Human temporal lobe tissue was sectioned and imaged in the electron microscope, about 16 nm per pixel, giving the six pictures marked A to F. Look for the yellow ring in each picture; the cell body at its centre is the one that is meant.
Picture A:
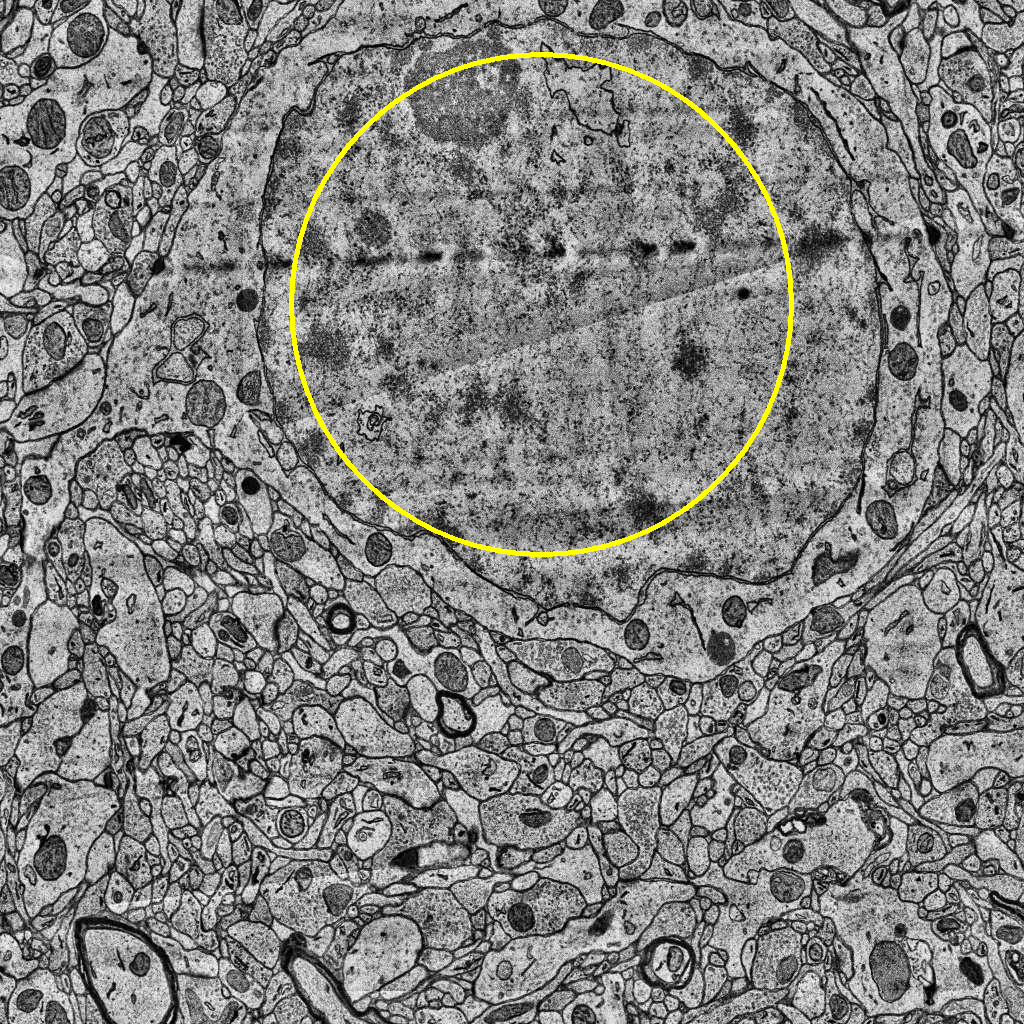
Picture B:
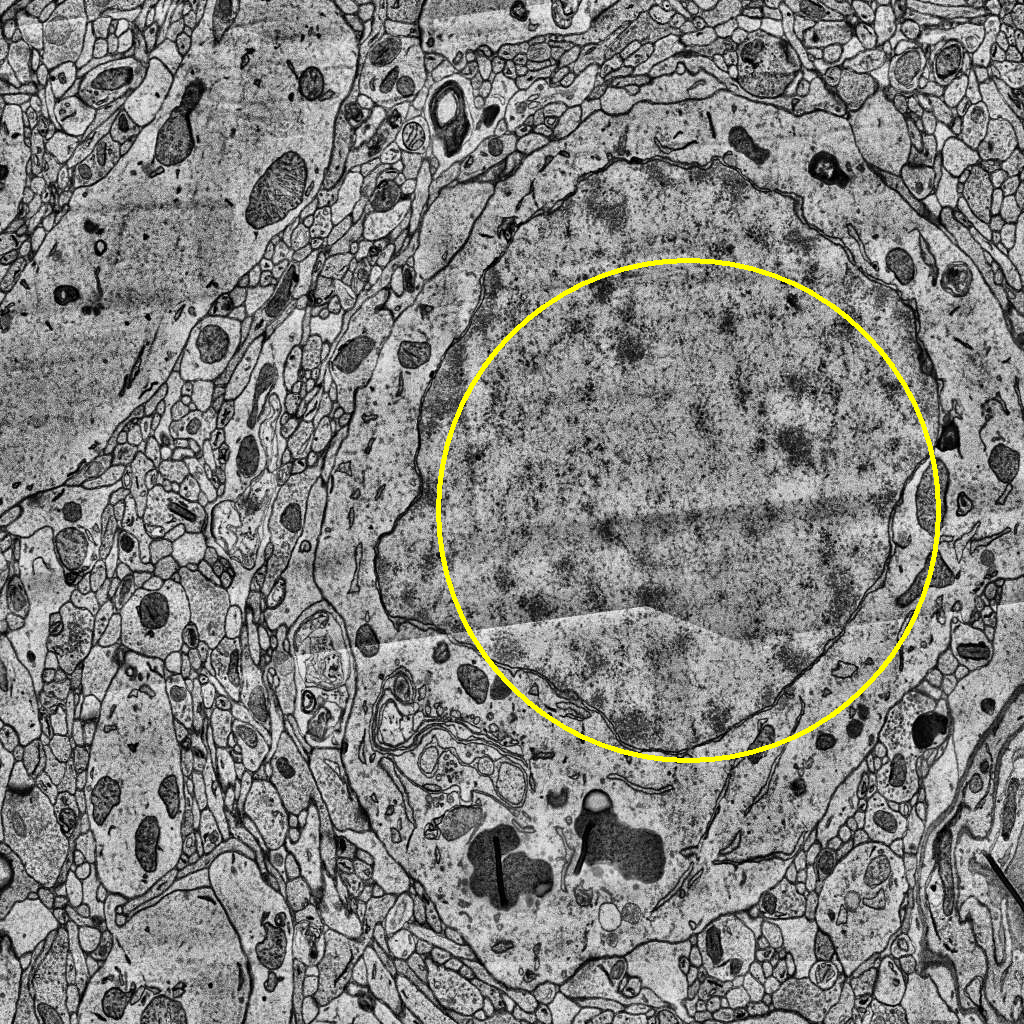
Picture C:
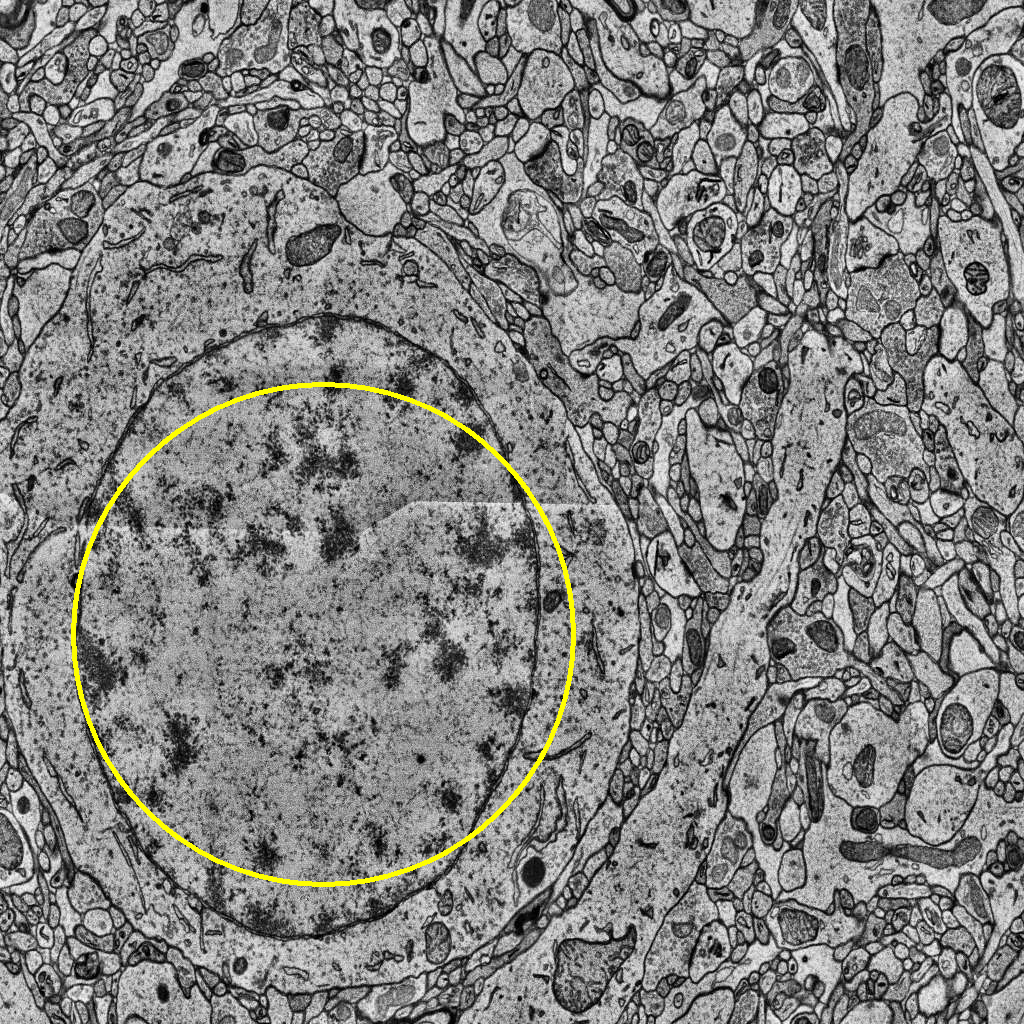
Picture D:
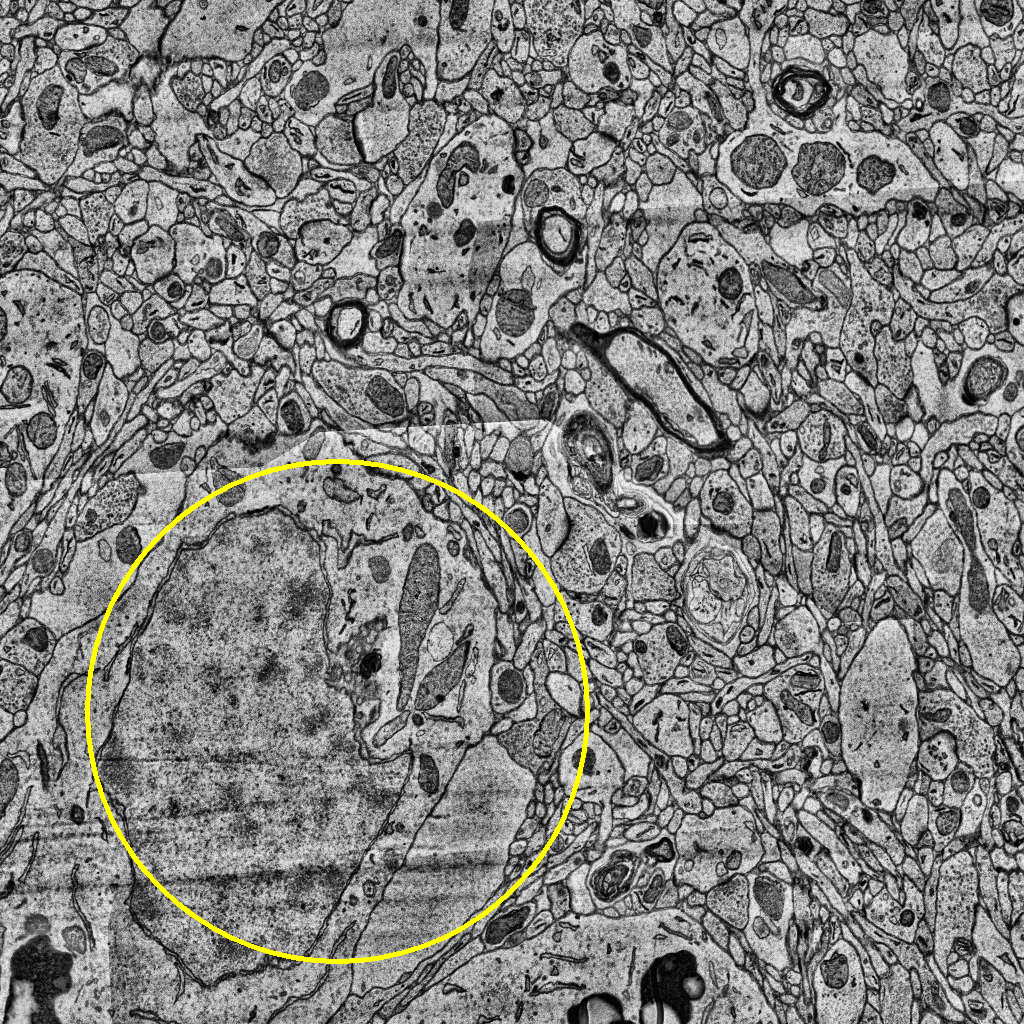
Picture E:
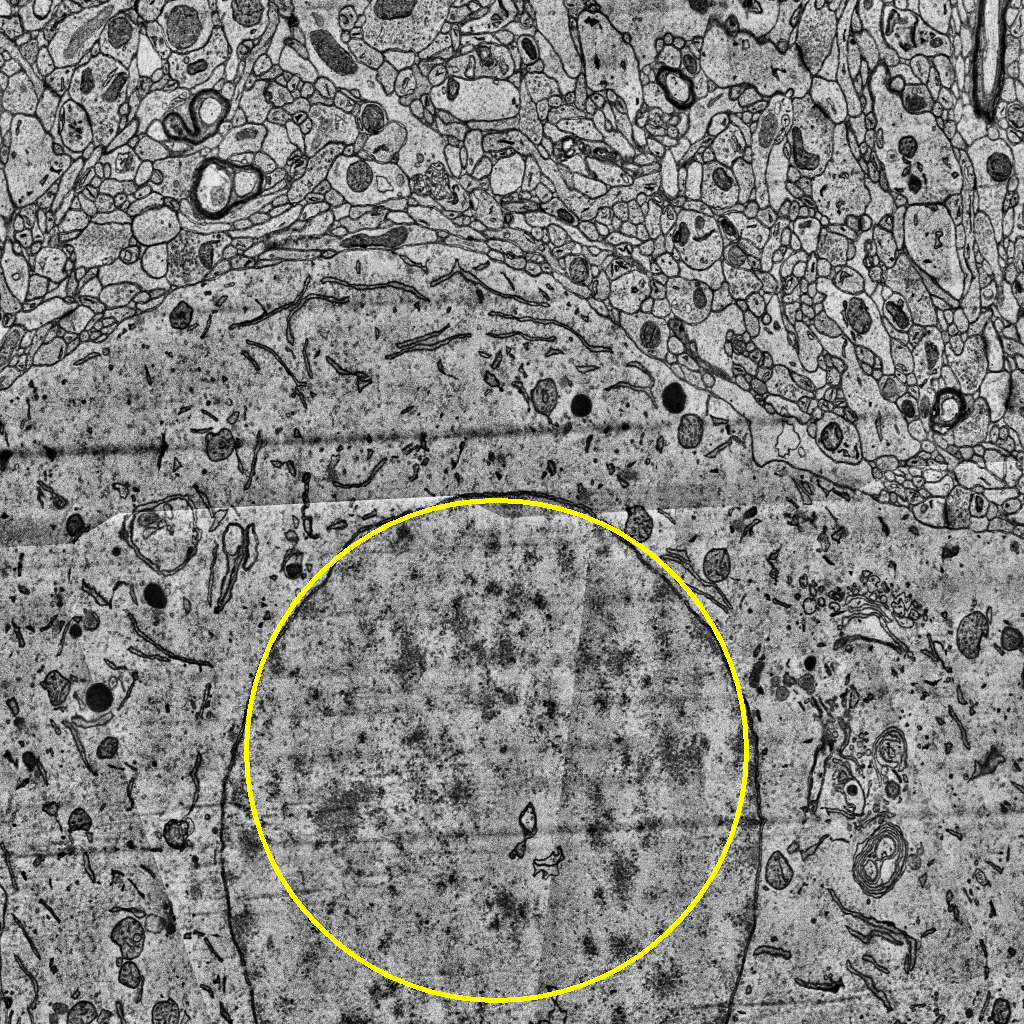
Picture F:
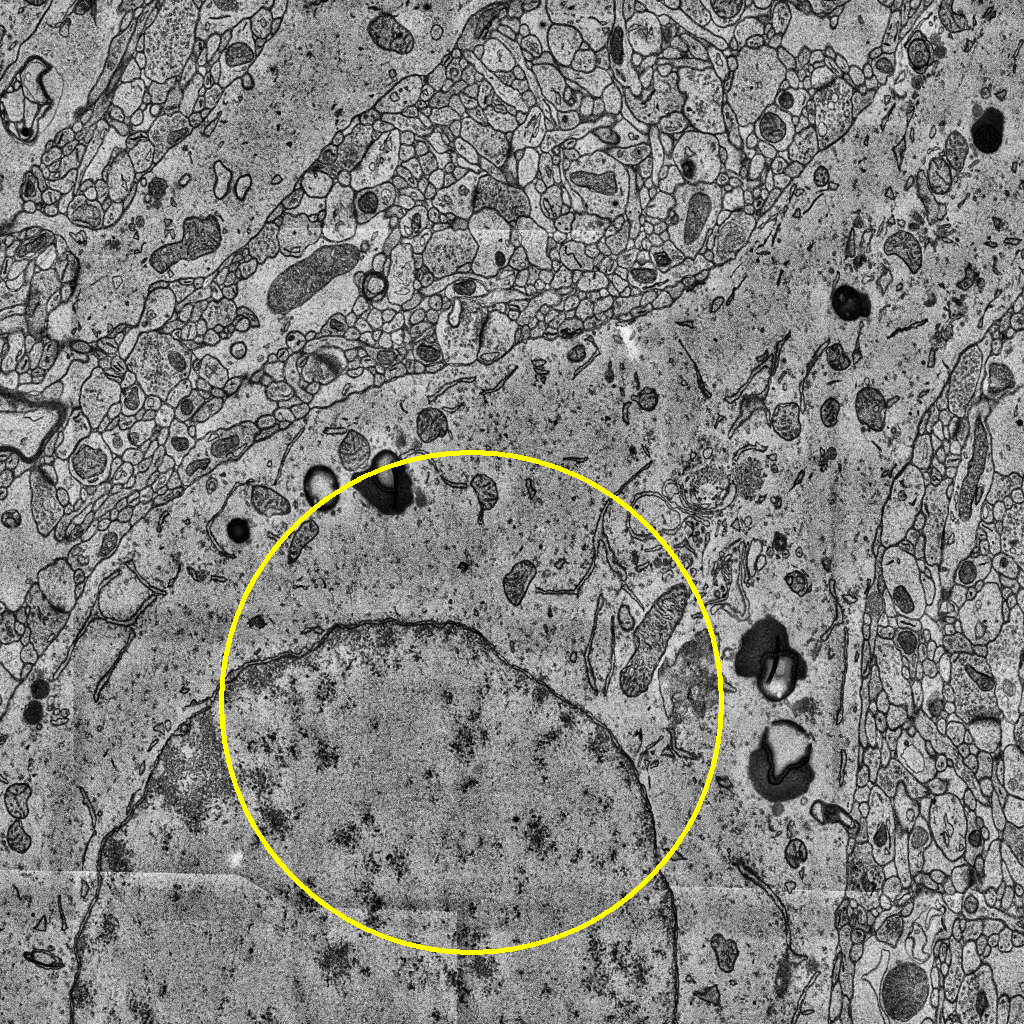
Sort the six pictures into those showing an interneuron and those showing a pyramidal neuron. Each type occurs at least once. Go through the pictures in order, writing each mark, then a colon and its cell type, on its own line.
A: interneuron
B: interneuron
C: pyramidal neuron
D: interneuron
E: pyramidal neuron
F: pyramidal neuron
